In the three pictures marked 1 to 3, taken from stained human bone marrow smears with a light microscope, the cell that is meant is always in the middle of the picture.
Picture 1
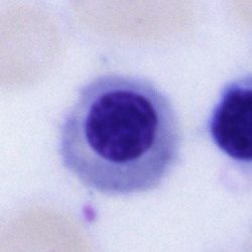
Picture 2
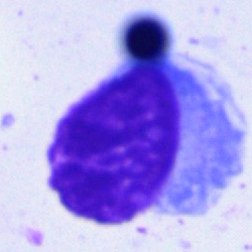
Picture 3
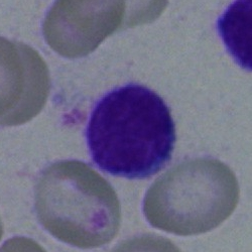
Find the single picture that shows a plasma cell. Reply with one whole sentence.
The cell in picture 2 is the plasma cell.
